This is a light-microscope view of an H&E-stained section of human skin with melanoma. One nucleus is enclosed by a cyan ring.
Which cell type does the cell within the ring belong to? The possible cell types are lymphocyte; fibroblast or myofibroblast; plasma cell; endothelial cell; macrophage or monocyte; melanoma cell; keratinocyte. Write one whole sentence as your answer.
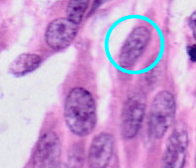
Microscopically, the cell within the ring is categorized as a melanoma cell.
